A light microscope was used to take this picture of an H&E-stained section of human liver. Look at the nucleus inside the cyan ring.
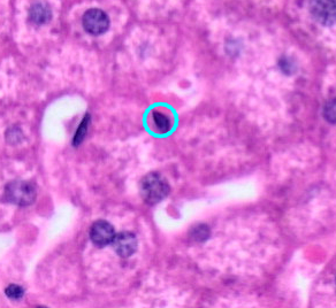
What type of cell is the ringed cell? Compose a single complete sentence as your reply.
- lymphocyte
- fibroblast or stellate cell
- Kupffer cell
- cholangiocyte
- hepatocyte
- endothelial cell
As to its cell type, the ringed cell is a fibroblast or stellate cell.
